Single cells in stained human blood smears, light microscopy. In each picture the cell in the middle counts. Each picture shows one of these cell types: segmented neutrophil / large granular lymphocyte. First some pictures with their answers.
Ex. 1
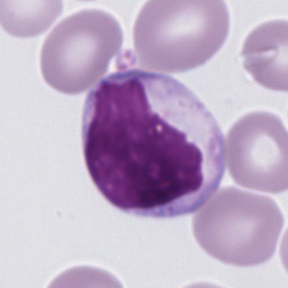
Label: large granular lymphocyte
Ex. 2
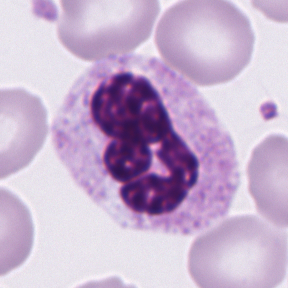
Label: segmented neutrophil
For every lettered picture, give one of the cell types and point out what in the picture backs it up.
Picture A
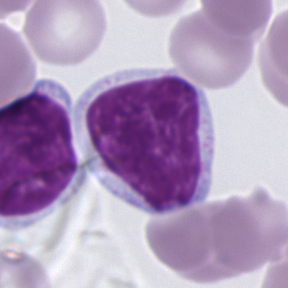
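Answer: large granular lymphocyte. The cytoplasm forms only a narrow rim around the nucleus.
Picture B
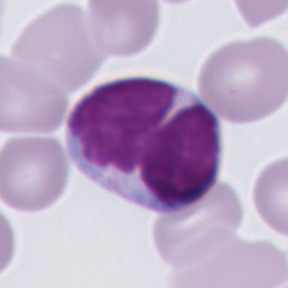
Answer: large granular lymphocyte. The cytoplasm is scant, pale grey-blue and mostly in a crescent at the lower left.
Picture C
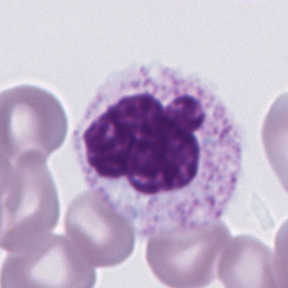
Answer: segmented neutrophil. The granules are scattered across the whole cytoplasm.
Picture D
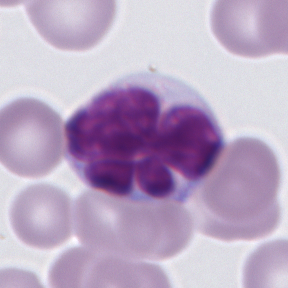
Answer: large granular lymphocyte. The cytoplasm is a scant pale bluish rim, widest along the top of the cell.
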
